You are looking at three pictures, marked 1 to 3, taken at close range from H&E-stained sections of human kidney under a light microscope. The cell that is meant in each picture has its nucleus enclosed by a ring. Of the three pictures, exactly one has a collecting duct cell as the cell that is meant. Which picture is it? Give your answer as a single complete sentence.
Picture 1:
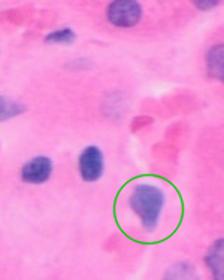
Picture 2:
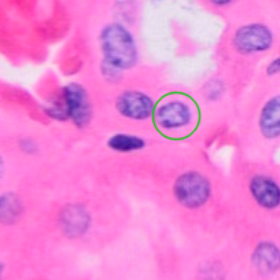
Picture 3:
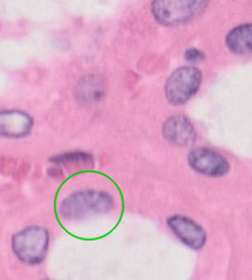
The collecting duct cell is the one in picture 2.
